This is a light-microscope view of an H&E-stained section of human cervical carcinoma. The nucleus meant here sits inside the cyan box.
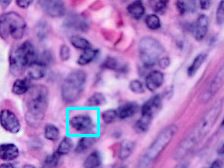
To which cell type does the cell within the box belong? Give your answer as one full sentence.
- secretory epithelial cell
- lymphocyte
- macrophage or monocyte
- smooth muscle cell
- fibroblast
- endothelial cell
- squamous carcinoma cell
The identity of the cell within the box: it is a lymphocyte.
